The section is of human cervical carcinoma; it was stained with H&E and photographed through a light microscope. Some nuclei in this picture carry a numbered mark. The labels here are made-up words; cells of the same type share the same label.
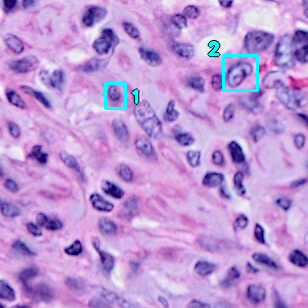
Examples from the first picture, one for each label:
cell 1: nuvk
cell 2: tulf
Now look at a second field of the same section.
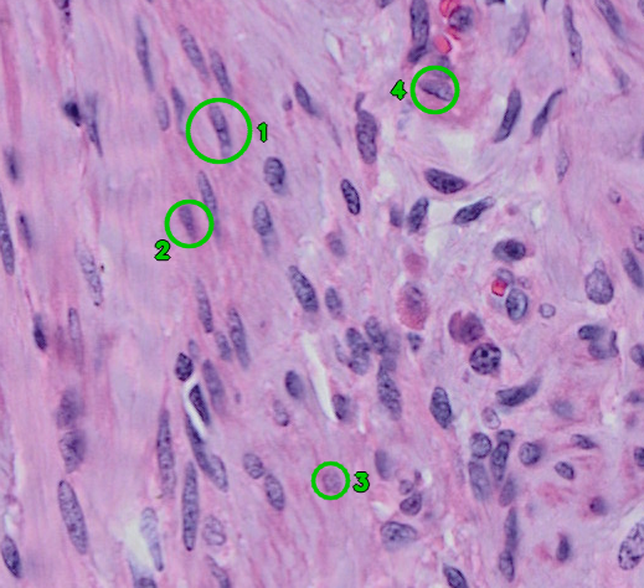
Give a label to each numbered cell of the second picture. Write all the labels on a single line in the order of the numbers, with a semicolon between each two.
nuvk; nuvk; nuvk; tulf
